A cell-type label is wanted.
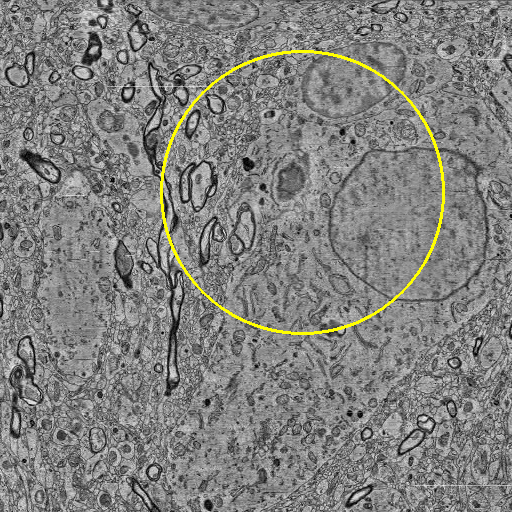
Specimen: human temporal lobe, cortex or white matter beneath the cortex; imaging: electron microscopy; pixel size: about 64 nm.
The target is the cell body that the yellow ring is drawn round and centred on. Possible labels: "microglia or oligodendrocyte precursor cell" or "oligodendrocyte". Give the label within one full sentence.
Of the labels offered, the cell in the middle of the yellow ring is a microglial cell or oligodendrocyte precursor cell.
